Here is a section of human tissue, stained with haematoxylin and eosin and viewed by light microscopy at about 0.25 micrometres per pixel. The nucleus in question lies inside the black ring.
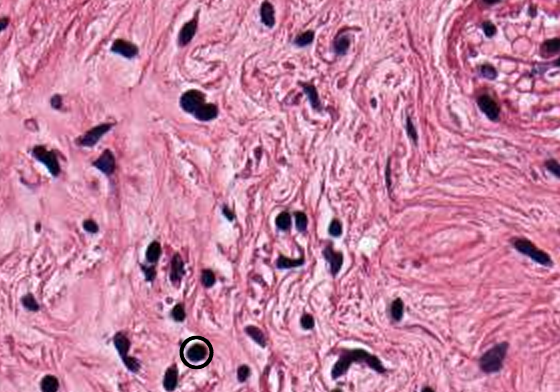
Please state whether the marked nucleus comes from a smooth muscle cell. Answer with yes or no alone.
no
